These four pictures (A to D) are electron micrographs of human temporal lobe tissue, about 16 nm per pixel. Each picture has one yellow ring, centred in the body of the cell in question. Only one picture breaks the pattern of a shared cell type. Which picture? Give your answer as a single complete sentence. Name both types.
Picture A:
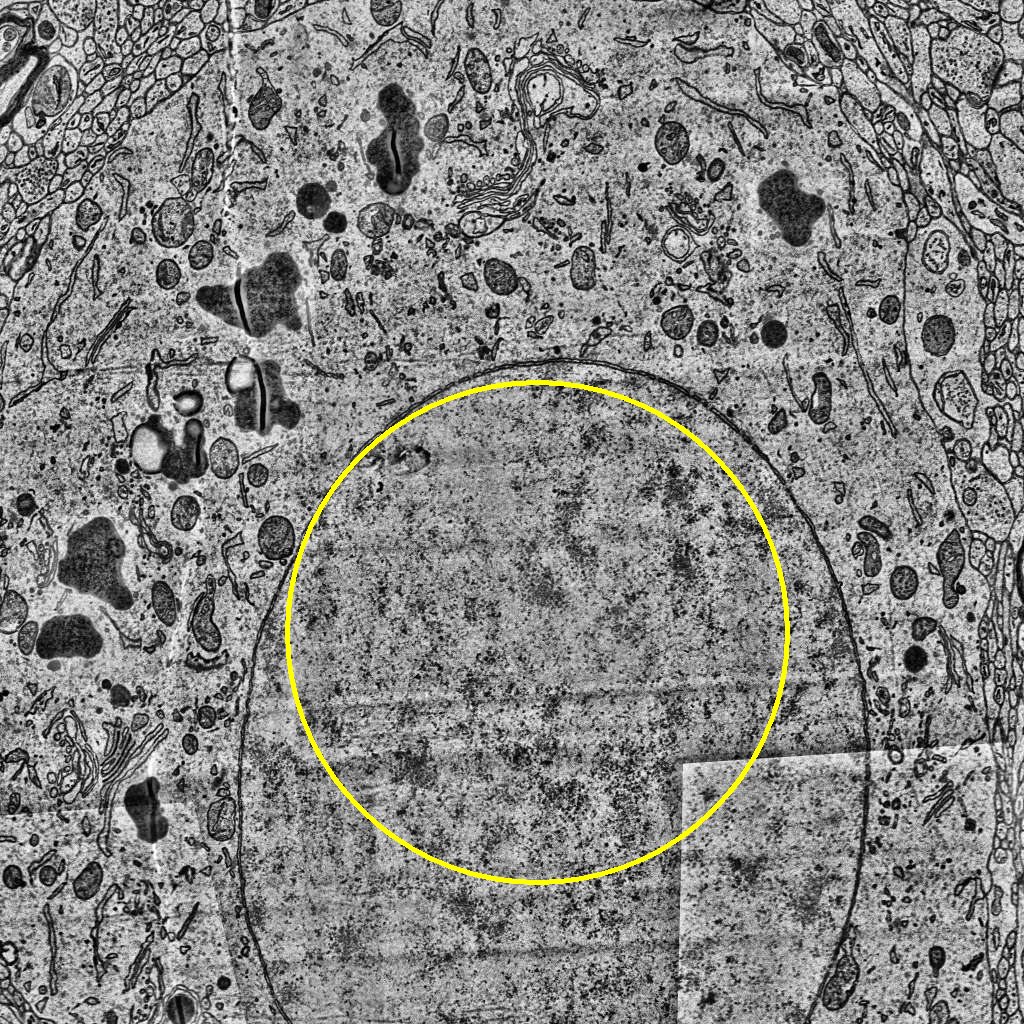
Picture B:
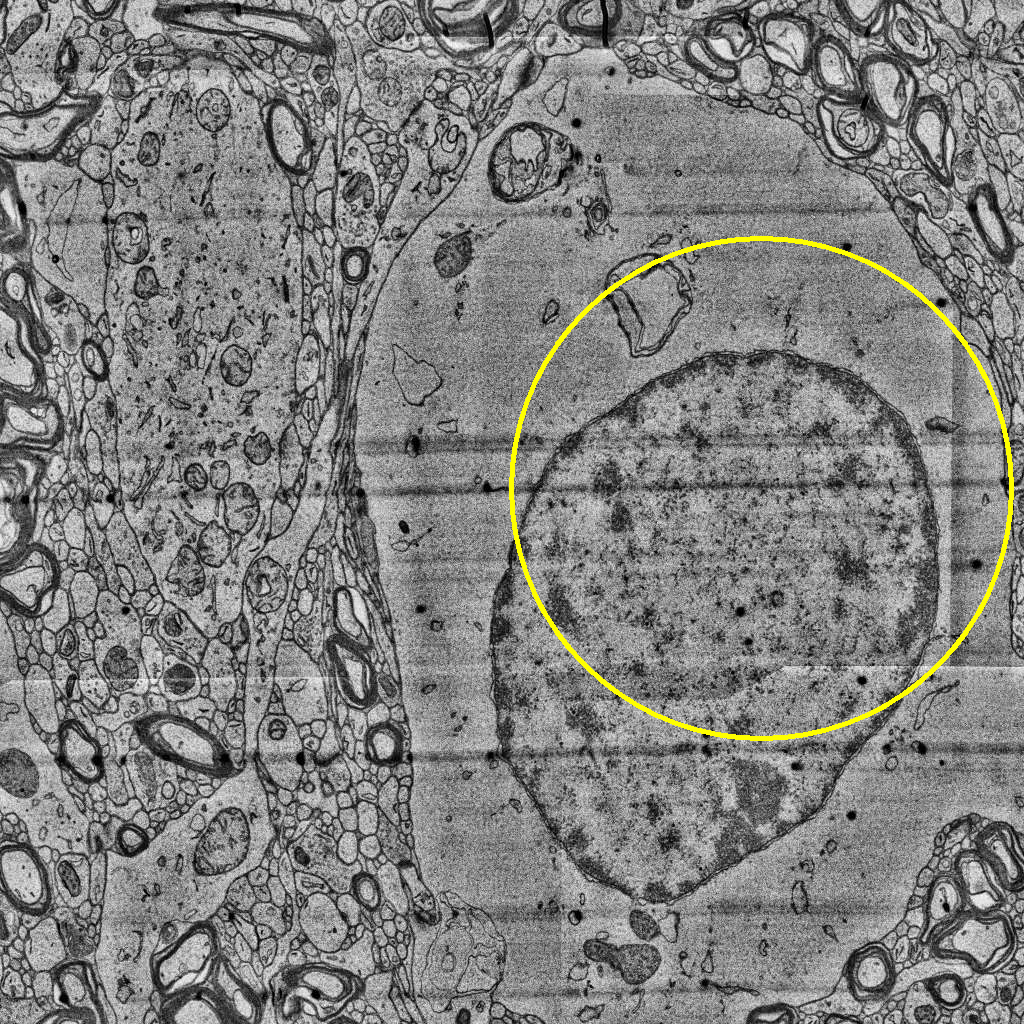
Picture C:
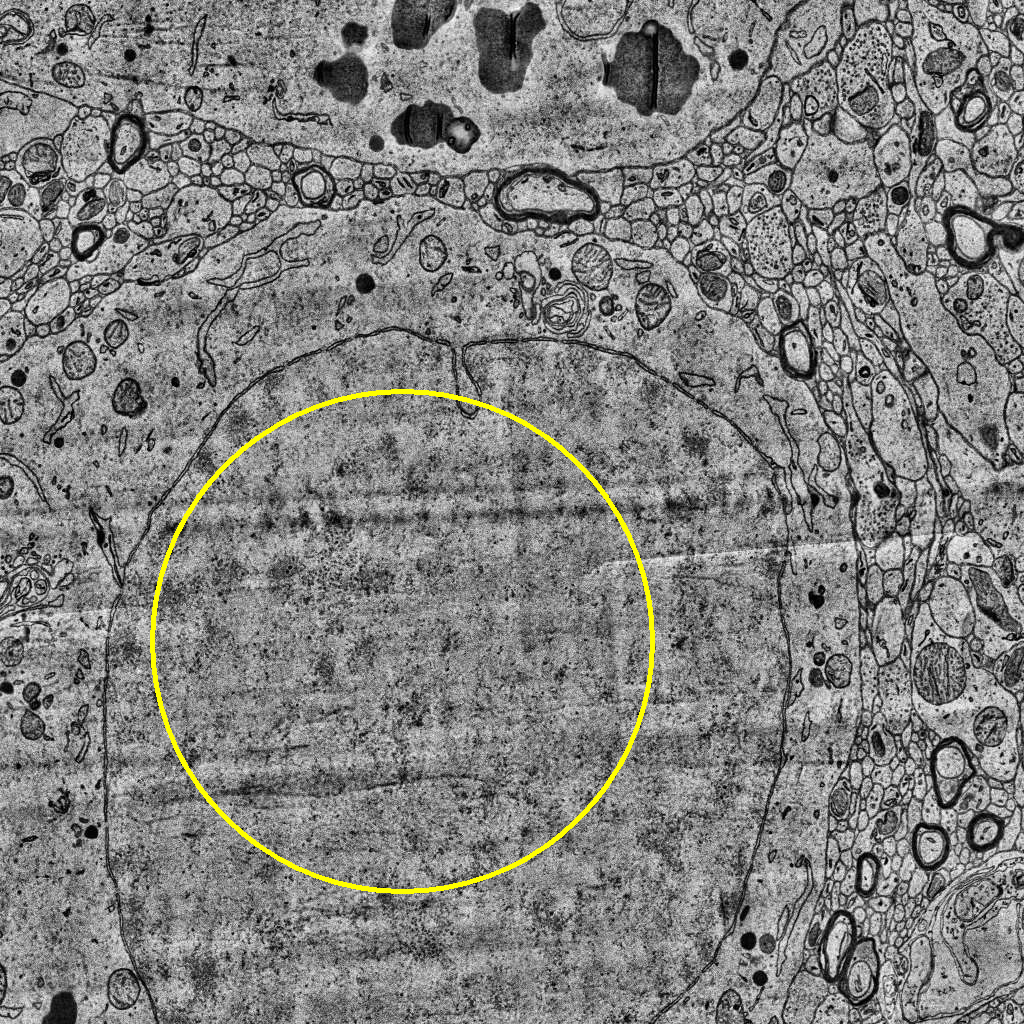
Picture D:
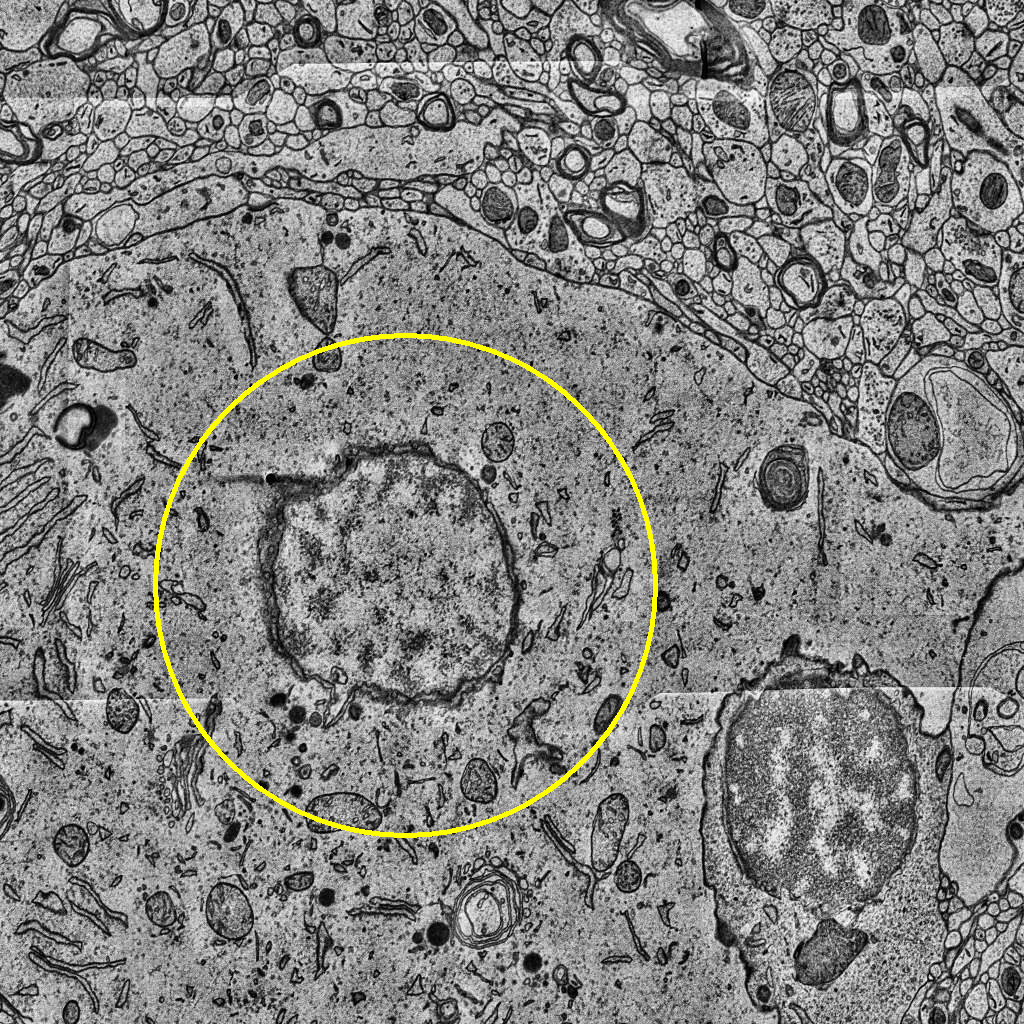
Picture B differs, because its cell is an astrocyte and the rest are pyramidal neurons.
